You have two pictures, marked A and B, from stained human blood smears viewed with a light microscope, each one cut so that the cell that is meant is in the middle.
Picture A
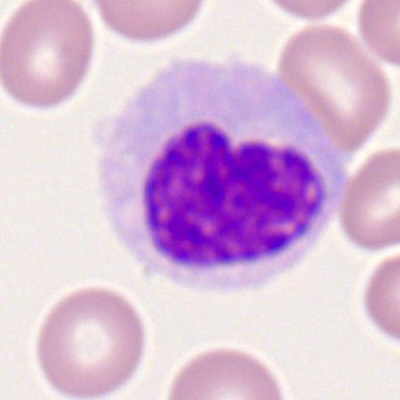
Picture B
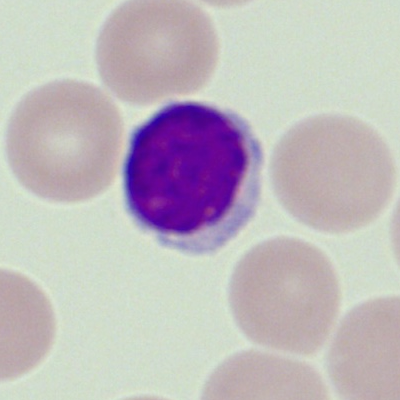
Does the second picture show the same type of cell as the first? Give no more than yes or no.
no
